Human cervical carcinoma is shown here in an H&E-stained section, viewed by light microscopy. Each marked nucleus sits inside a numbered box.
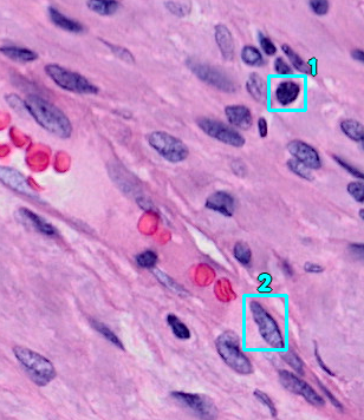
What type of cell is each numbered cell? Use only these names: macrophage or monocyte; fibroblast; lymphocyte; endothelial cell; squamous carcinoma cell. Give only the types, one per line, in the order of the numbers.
lymphocyte
endothelial cell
